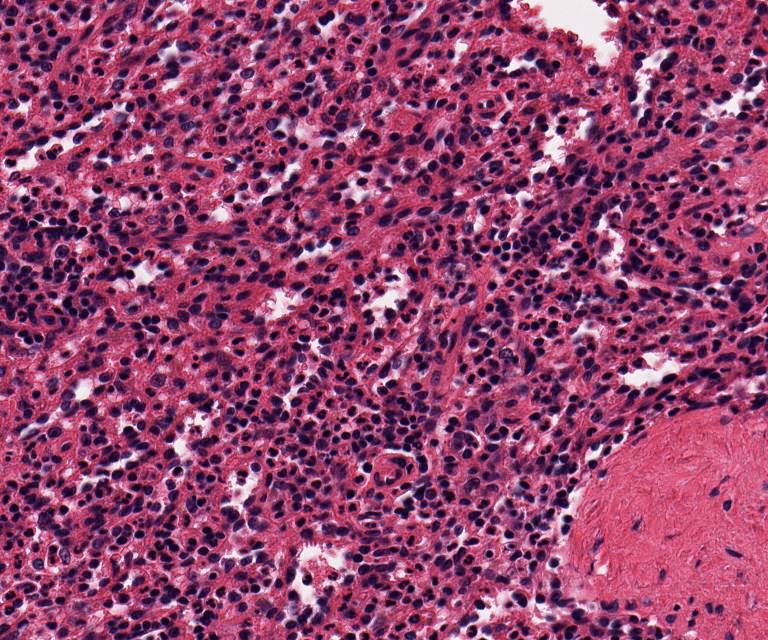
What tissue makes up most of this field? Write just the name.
red pulp of the spleen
